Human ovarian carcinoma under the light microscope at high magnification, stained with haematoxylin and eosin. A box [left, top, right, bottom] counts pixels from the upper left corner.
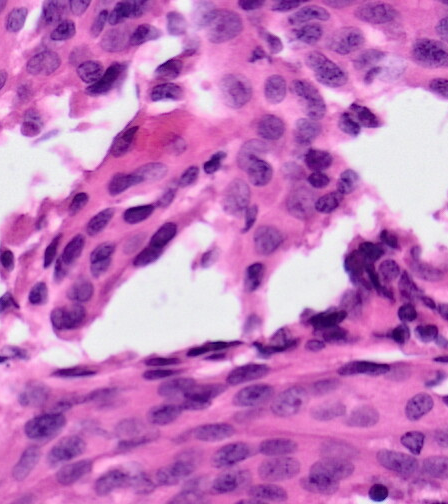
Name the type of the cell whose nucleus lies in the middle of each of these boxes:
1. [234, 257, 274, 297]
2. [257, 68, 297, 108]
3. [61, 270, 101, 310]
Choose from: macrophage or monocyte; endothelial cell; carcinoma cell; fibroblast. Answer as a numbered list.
1. macrophage or monocyte
2. carcinoma cell
3. carcinoma cell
